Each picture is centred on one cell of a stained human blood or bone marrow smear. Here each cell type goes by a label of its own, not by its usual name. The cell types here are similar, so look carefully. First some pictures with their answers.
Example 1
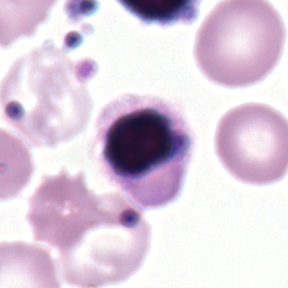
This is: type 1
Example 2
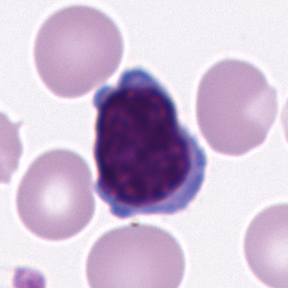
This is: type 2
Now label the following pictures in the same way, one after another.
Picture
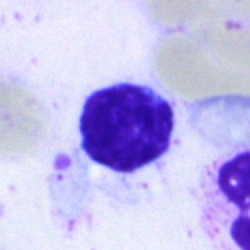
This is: type 2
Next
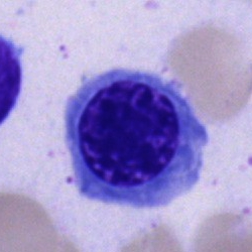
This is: type 1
